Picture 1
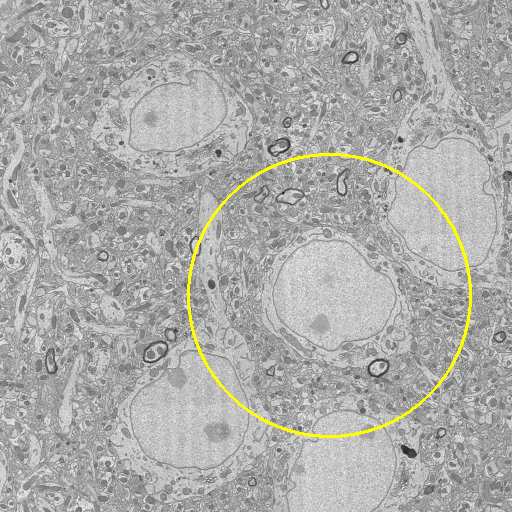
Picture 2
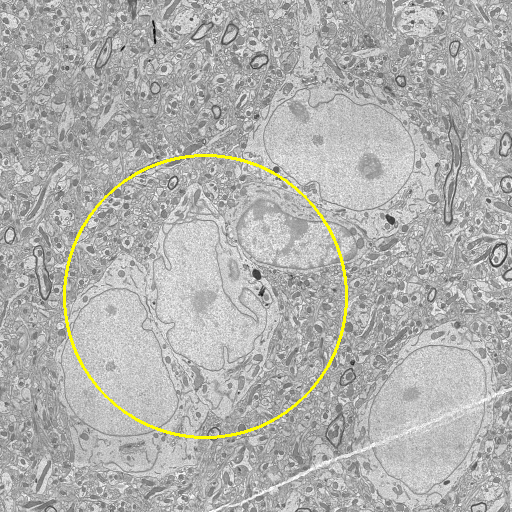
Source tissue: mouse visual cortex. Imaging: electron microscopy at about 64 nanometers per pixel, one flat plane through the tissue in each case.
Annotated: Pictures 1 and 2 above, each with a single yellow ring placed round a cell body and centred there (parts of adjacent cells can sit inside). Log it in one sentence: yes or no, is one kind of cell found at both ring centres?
No, the ring centres of the two pictures hold cells of two kinds.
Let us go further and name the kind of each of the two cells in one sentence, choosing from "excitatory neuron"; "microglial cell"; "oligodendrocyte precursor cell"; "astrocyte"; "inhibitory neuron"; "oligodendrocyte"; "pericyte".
The ring of the first picture is on an excitatory neuron, the ring of the second on an inhibitory neuron.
